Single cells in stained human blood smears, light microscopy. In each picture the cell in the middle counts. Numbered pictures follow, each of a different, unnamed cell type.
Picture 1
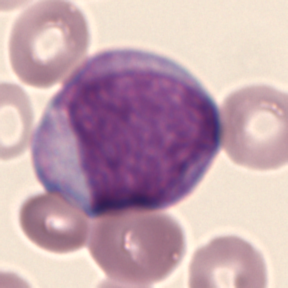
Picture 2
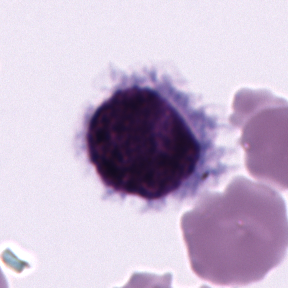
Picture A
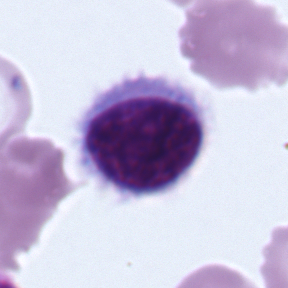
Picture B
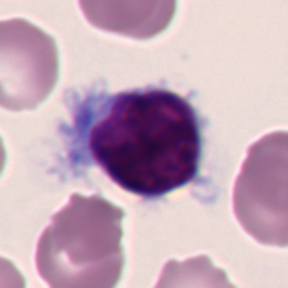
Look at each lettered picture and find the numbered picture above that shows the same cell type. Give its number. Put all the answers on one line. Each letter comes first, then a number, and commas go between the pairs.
A 2, B 2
